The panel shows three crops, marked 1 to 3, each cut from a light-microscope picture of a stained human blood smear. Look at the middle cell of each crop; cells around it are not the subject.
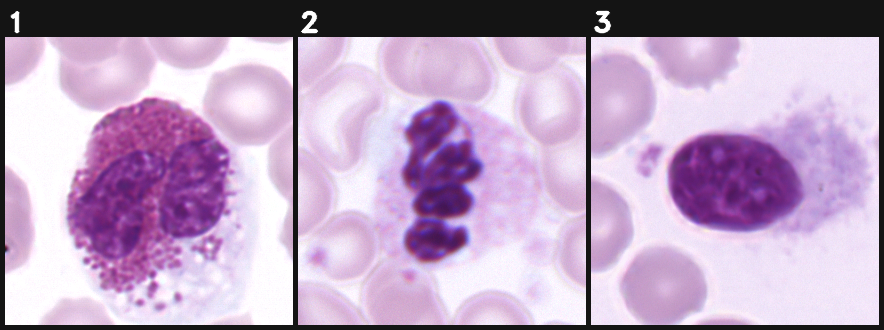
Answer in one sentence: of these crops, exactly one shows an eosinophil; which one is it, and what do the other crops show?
Crop 1 is where an eosinophil is shown, whereas crop 2 is a neutrophil and crop 3 is a plasma cell.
